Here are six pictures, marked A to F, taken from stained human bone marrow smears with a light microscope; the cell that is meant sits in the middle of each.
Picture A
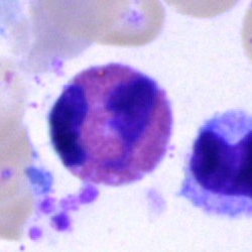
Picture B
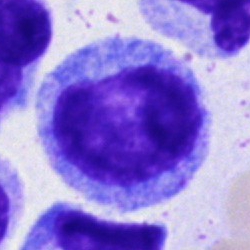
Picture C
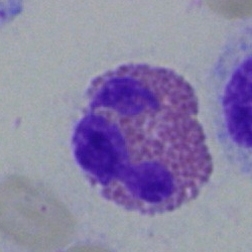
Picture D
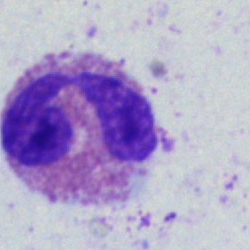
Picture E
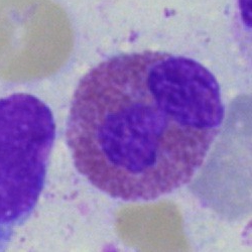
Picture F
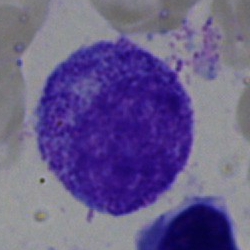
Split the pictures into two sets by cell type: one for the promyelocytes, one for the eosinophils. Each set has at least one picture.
A: eosinophil
B: promyelocyte
C: eosinophil
D: eosinophil
E: eosinophil
F: promyelocyte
